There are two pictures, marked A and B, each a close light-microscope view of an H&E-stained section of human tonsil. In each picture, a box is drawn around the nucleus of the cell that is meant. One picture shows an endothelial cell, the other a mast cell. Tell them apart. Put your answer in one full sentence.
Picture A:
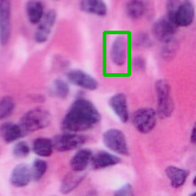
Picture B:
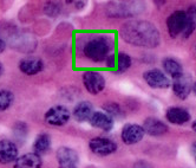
Picture A is of a mast cell, and picture B is of an endothelial cell.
